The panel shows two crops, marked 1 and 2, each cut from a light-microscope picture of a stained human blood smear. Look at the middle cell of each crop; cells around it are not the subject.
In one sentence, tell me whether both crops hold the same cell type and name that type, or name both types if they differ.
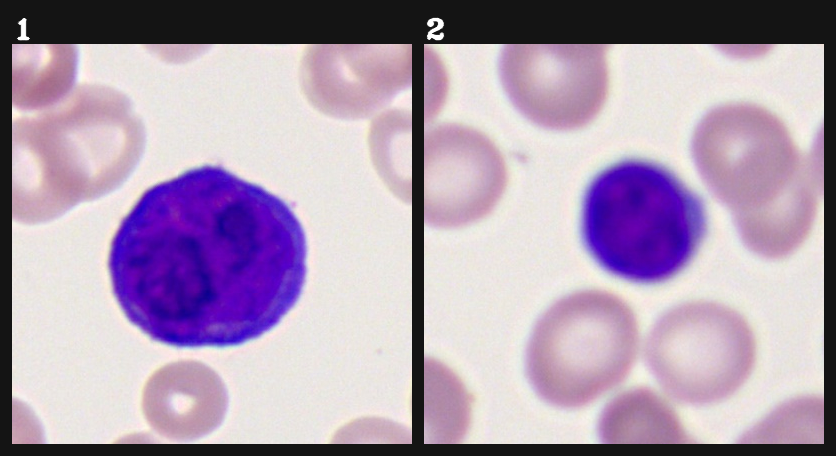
No, the cell in crop 1 is a myeloblast, and the cell in crop 2 is a lymphocyte.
